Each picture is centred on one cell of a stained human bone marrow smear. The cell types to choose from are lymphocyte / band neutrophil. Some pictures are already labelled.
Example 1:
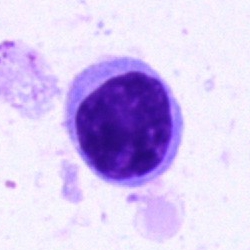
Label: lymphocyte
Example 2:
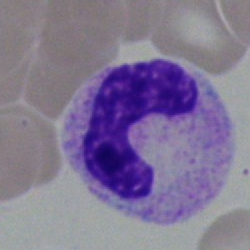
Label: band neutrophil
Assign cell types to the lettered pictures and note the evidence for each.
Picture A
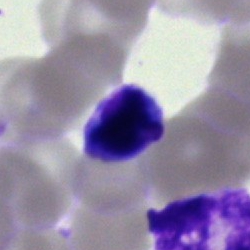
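Label: lymphocyte. Cytoplasm is scant, at most a thin rim at the edge.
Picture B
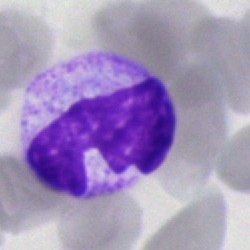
Label: band neutrophil. The cytoplasm is sprinkled with many fine purple granules.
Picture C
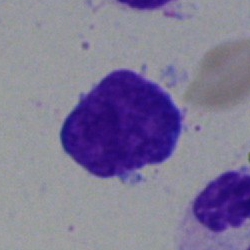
Label: lymphocyte. The nucleus fills almost the whole cell, leaving hardly any visible cytoplasm.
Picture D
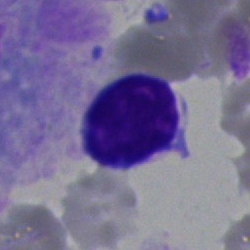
Label: lymphocyte. The cytoplasm is very scant, with the nucleus filling almost the whole cell.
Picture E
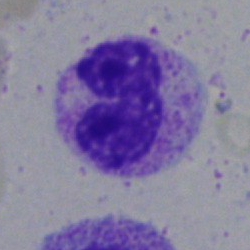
Label: band neutrophil. The cytoplasm holds many fine purple granules scattered throughout.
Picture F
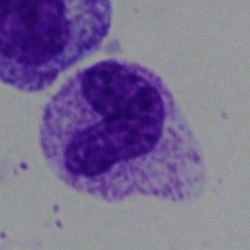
Label: band neutrophil. The cytoplasm is abundant and pale lilac.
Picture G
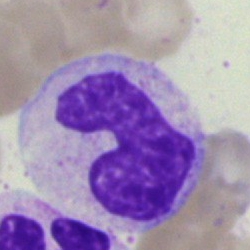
Label: band neutrophil. Fine pinkish-violet granules are scattered through the cytoplasm.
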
